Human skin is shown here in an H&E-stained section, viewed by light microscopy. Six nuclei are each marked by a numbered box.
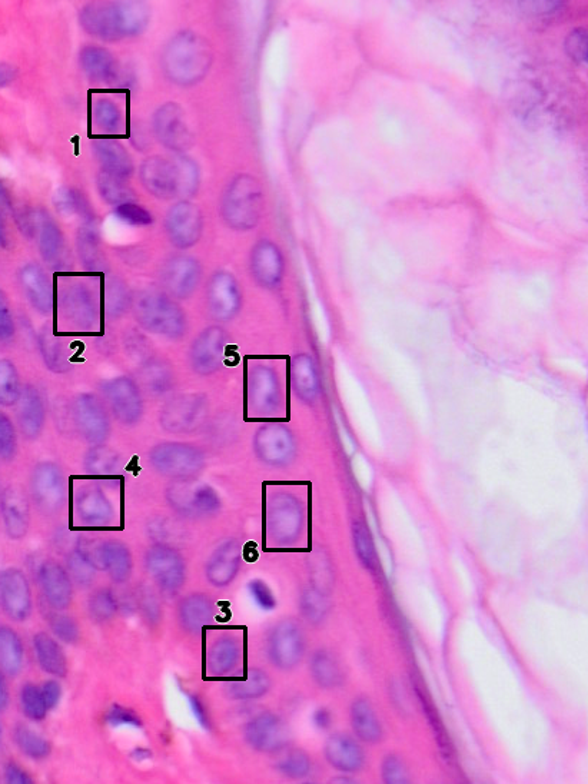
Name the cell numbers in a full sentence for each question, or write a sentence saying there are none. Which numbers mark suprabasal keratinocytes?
The cells carrying the numbers 2, 4, 5 and 6 are suprabasal keratinocytes.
